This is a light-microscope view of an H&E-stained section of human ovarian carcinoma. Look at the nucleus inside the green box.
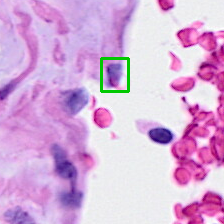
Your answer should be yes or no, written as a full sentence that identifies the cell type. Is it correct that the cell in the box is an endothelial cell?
Yes, the claim that the cell in the box is an endothelial cell holds true.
